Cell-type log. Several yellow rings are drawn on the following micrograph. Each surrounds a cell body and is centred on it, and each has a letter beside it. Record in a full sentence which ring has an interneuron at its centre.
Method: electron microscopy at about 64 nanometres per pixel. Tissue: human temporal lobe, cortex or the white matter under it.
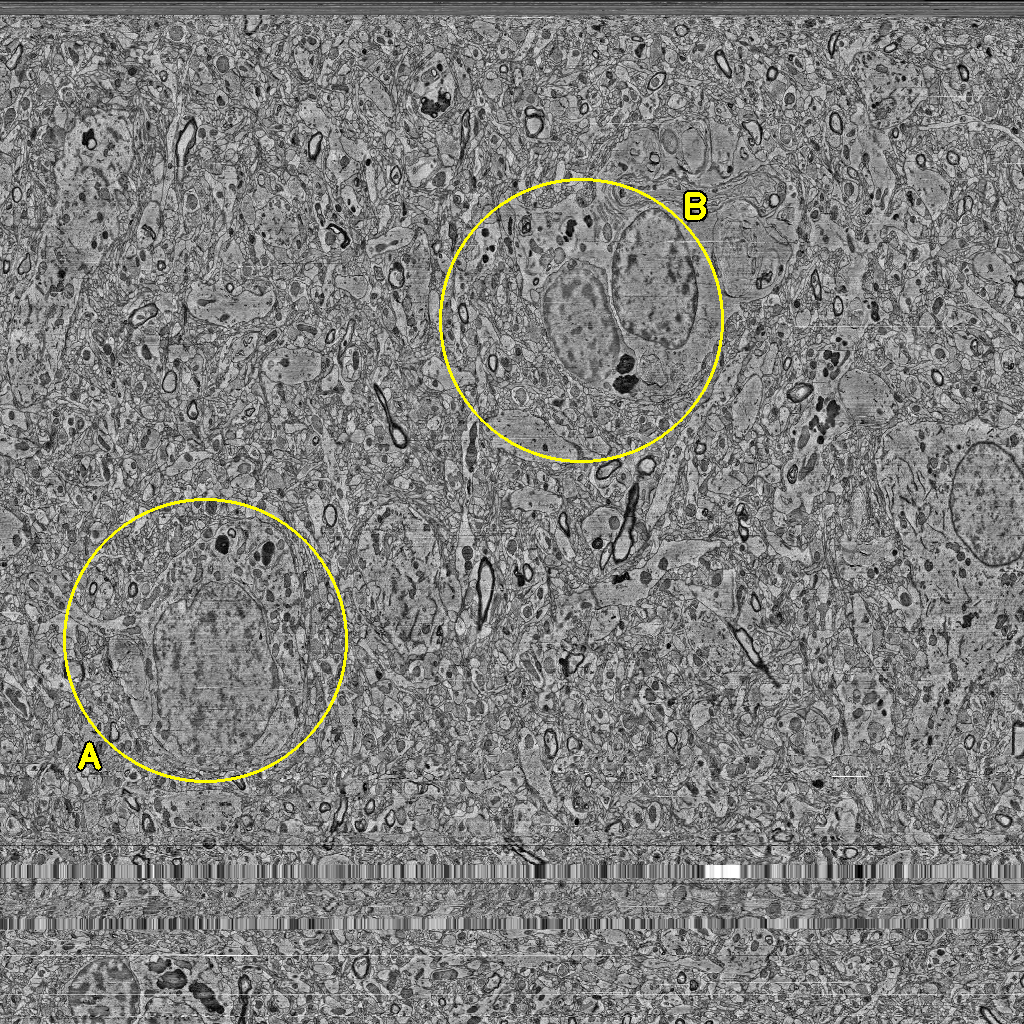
Ring A has it at its centre.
